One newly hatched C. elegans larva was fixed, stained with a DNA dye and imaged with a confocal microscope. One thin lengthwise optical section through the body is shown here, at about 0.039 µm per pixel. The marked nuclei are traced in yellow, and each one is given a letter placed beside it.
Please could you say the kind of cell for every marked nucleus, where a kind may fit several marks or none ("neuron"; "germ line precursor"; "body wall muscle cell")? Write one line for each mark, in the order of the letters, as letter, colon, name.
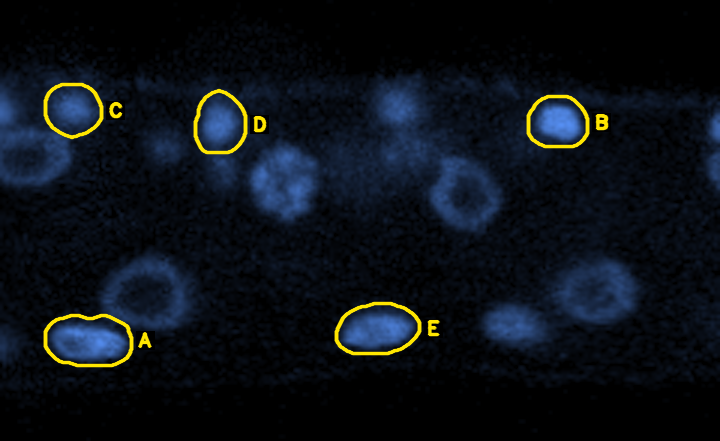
A: body wall muscle cell
B: neuron
C: neuron
D: neuron
E: body wall muscle cell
